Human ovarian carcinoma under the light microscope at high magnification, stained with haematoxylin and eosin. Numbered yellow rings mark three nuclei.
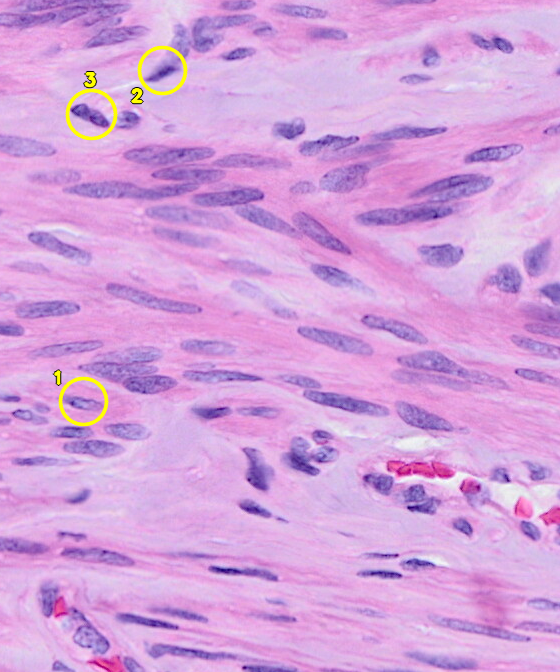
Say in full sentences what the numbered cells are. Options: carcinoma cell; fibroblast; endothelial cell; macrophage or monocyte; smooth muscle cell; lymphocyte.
Cell 1 is a smooth muscle cell. Cells 2 and 3 are fibroblasts.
